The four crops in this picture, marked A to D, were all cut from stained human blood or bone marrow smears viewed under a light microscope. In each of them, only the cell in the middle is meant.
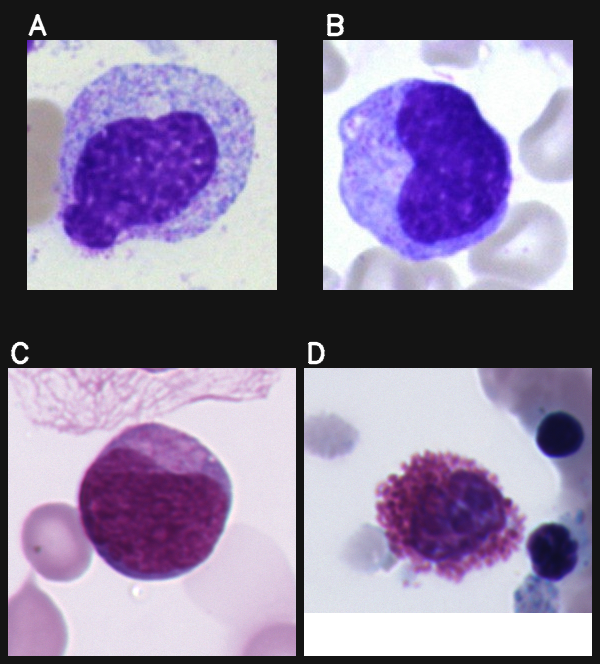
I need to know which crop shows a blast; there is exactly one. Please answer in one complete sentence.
The one showing a blast is crop C.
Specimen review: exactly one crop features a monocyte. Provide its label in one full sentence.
The crop marked B is the one in which a monocyte is shown.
